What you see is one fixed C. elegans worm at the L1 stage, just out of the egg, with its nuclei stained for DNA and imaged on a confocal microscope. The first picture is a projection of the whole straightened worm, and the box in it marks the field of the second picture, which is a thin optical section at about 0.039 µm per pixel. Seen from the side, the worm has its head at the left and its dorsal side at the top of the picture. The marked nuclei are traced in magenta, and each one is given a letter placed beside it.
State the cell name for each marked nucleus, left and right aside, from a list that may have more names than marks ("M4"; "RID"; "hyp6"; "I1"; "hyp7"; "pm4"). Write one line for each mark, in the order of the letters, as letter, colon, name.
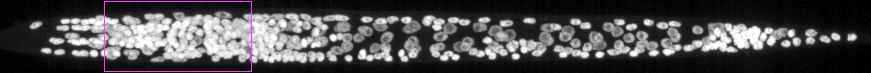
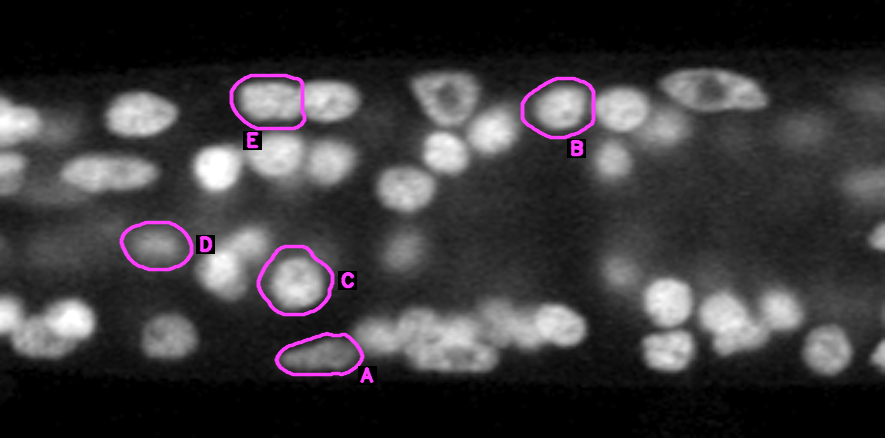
A: hyp7
B: RID
C: pm4
D: I1
E: hyp6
